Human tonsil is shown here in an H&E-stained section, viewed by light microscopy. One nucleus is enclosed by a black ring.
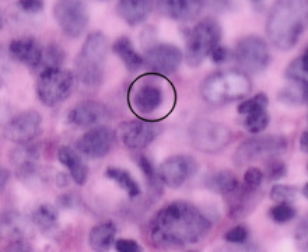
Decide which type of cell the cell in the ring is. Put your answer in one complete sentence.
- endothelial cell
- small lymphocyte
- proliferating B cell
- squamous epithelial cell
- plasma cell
At the level of cell identity, the cell in the ring is a proliferating B cell.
